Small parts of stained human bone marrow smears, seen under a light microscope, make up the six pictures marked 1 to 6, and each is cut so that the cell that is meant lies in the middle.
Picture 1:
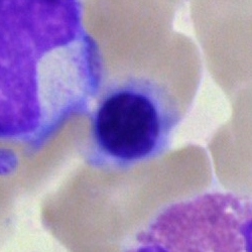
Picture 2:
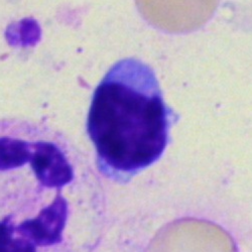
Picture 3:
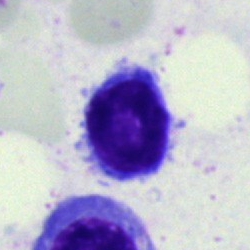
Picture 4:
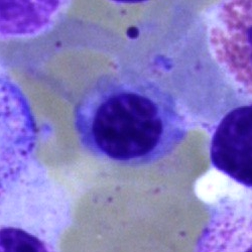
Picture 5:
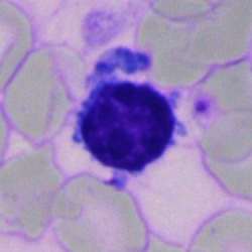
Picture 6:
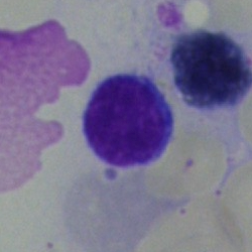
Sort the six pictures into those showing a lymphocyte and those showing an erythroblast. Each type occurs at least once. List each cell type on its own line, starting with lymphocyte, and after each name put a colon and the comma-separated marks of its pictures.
lymphocyte: 2, 3, 5, 6
erythroblast: 1, 4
